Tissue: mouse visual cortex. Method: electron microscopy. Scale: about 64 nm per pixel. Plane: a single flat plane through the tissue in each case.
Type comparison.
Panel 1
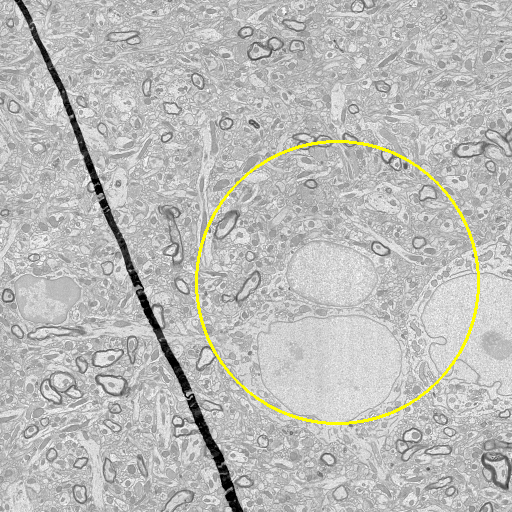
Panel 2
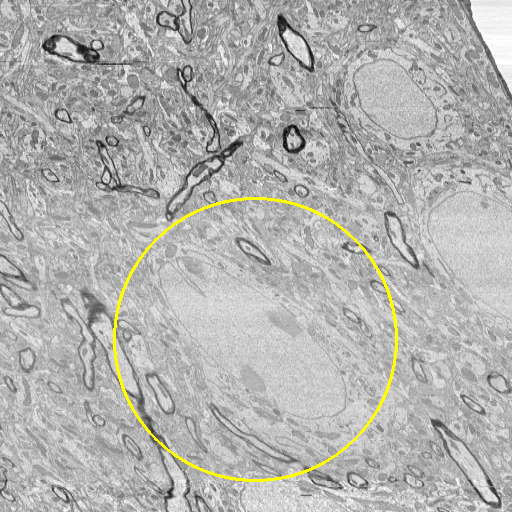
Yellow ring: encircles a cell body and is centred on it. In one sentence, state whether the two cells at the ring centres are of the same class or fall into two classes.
In these panels, the two cells at the ring centres fall into two classes.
